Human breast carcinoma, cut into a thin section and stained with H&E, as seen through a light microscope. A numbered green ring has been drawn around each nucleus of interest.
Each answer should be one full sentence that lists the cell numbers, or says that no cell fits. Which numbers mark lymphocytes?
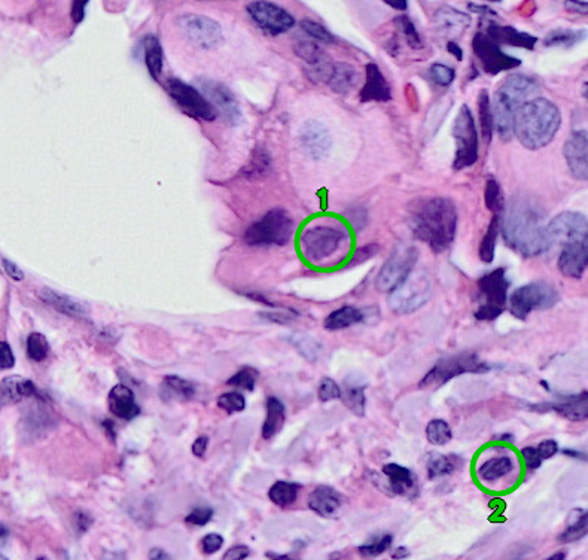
Only nucleus 2 belongs to a lymphocyte; the other numbered nuclei do not.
